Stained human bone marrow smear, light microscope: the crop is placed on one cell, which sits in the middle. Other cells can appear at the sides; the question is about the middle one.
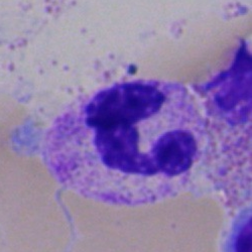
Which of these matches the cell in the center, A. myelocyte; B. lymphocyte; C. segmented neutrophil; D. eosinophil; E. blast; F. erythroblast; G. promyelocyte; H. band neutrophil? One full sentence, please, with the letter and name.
The correct option is C, as the central cell is a segmented neutrophil.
